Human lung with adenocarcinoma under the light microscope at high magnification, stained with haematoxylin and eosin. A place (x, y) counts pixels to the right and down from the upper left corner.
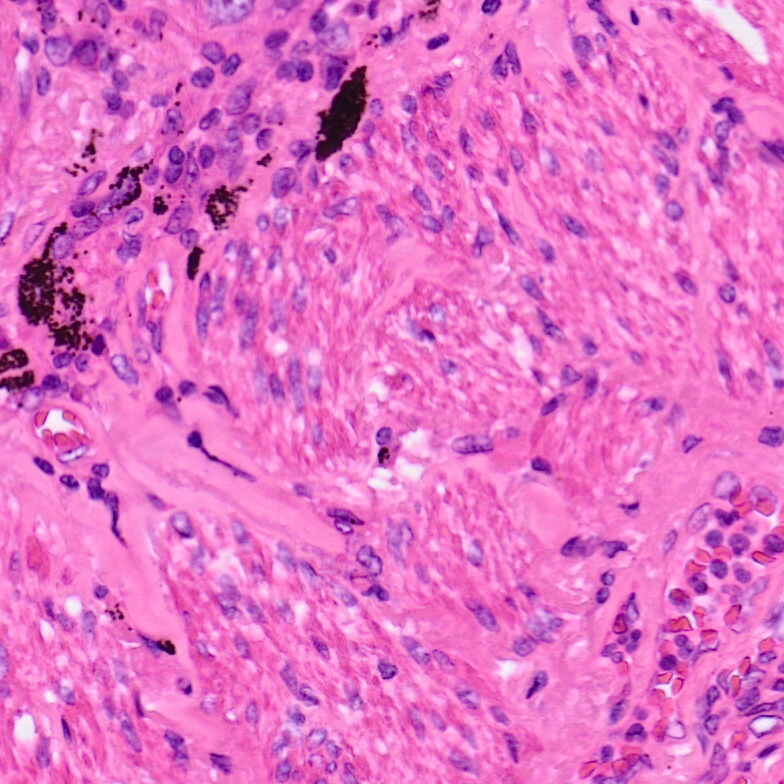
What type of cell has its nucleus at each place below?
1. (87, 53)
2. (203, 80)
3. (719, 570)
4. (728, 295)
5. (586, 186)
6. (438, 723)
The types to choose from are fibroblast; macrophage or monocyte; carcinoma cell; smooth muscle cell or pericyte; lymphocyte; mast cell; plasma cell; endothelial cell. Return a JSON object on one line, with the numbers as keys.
{"1": "plasma cell", "2": "lymphocyte", "3": "lymphocyte", "4": "mast cell", "5": "smooth muscle cell or pericyte", "6": "smooth muscle cell or pericyte"}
